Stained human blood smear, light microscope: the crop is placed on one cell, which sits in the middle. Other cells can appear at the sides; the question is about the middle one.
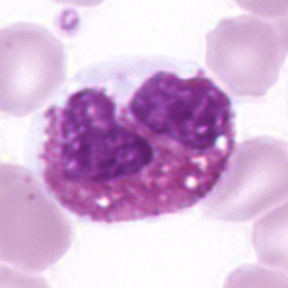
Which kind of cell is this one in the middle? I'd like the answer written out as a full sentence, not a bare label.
The cell sitting right in the middle is an eosinophil.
